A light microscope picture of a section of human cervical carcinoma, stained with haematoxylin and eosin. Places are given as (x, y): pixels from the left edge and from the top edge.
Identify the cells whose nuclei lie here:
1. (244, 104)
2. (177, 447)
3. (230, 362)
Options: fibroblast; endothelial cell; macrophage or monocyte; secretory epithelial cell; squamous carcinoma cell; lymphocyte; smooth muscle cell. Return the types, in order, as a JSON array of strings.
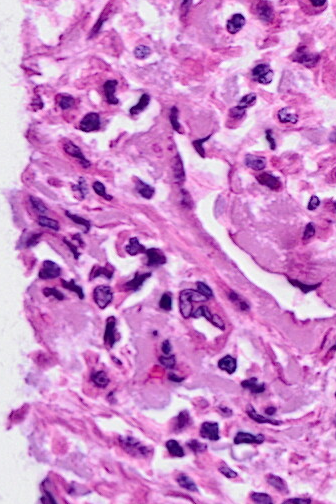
["macrophage or monocyte", "lymphocyte", "lymphocyte"]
